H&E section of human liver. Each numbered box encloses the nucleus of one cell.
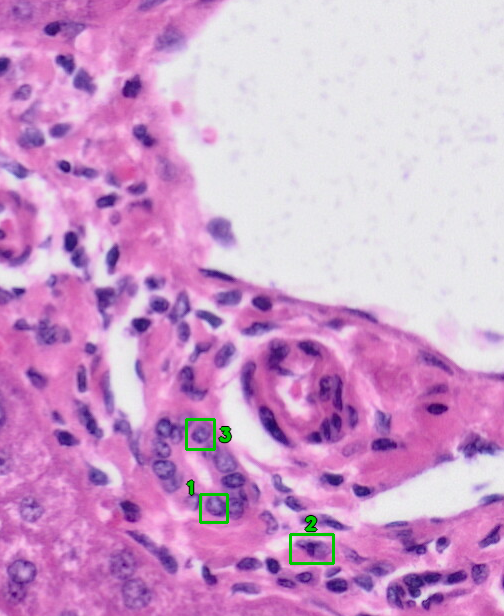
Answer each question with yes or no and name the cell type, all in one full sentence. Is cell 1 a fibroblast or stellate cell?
No, cell 1 should be read as a cholangiocyte instead of a fibroblast or stellate cell.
